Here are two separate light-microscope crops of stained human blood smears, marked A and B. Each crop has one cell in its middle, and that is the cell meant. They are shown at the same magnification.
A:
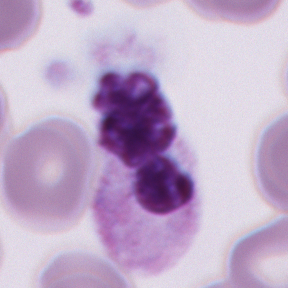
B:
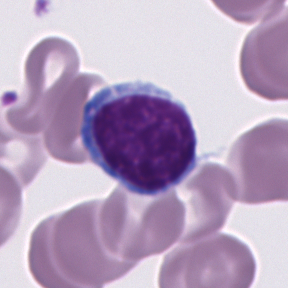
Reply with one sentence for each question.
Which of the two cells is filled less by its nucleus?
In crop A the nucleus takes up the smaller part of its cell.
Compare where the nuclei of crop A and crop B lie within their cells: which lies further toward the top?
In crop A the nucleus is shifted more toward the top.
